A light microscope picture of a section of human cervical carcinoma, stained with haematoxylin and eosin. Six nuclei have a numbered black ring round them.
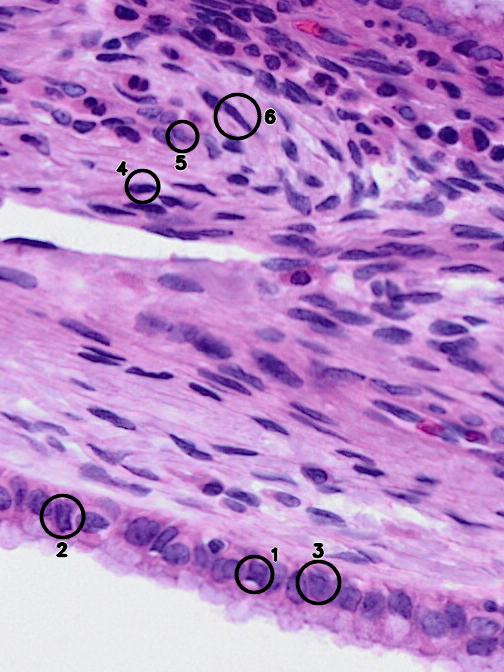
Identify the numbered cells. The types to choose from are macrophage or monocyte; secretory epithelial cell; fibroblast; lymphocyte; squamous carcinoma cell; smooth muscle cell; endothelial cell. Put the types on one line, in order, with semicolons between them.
secretory epithelial cell; secretory epithelial cell; secretory epithelial cell; lymphocyte; endothelial cell; fibroblast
